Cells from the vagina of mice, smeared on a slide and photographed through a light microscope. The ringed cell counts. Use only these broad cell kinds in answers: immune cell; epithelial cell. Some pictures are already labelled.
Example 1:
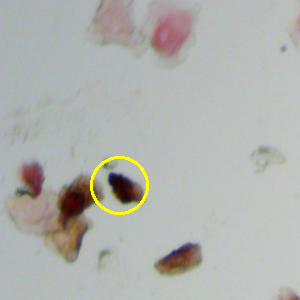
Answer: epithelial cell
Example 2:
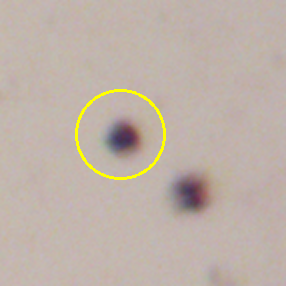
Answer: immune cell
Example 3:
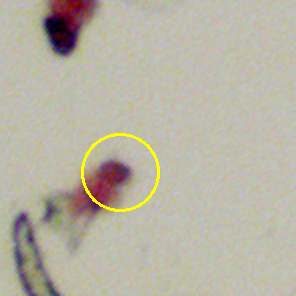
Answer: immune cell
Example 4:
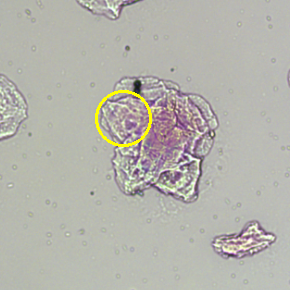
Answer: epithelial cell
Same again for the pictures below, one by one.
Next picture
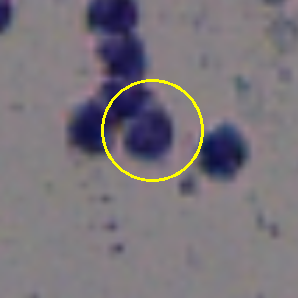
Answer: immune cell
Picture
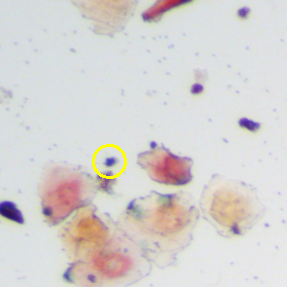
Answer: immune cell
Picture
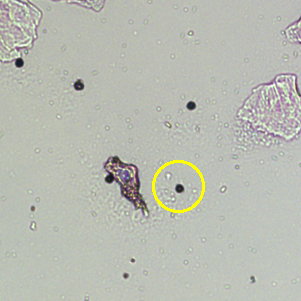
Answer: immune cell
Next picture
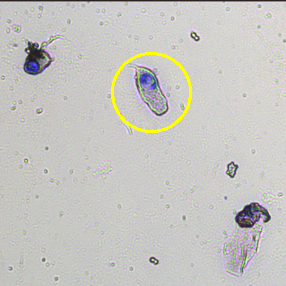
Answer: epithelial cell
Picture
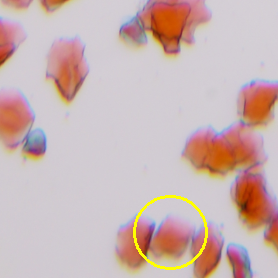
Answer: epithelial cell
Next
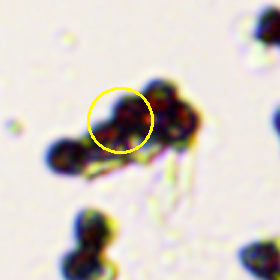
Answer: immune cell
